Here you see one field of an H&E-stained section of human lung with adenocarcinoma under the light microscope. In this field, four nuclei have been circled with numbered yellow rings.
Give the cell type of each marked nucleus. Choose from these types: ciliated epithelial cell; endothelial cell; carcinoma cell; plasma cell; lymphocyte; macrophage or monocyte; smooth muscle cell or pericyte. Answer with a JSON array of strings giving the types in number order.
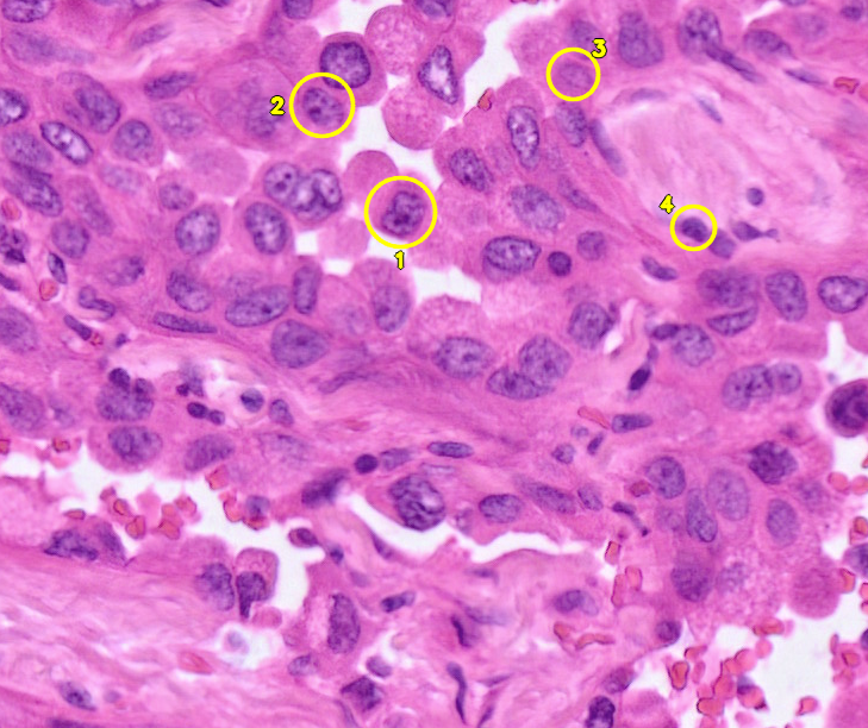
["carcinoma cell", "carcinoma cell", "carcinoma cell", "lymphocyte"]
